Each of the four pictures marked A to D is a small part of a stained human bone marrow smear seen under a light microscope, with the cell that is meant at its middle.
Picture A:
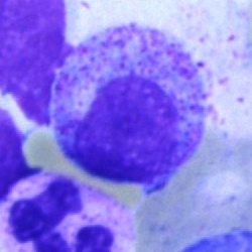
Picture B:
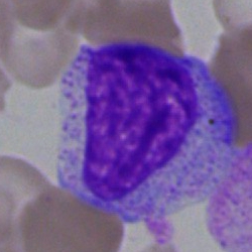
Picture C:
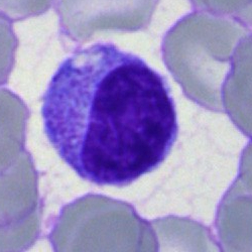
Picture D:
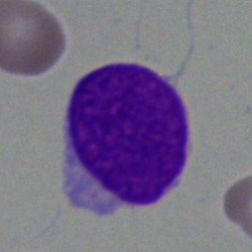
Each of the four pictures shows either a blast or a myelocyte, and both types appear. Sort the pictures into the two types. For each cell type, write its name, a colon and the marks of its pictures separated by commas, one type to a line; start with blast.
blast: D
myelocyte: A, B, C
